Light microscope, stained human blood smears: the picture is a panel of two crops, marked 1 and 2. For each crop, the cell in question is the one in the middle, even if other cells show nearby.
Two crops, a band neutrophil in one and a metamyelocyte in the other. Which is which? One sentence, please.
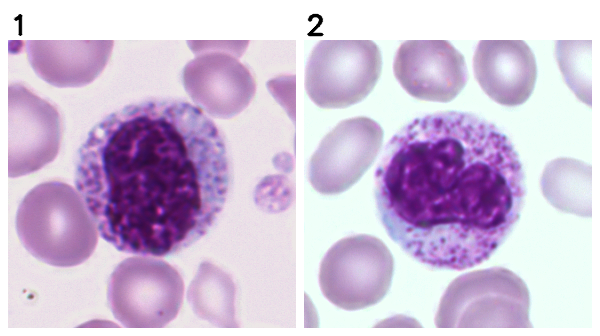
Displayed in crop 1 is a metamyelocyte, while crop 2 displays a band neutrophil.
